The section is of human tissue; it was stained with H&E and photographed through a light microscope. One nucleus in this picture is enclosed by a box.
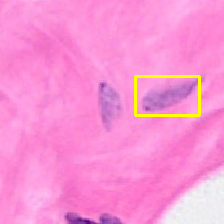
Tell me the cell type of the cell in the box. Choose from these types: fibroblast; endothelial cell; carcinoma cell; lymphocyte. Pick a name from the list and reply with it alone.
fibroblast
